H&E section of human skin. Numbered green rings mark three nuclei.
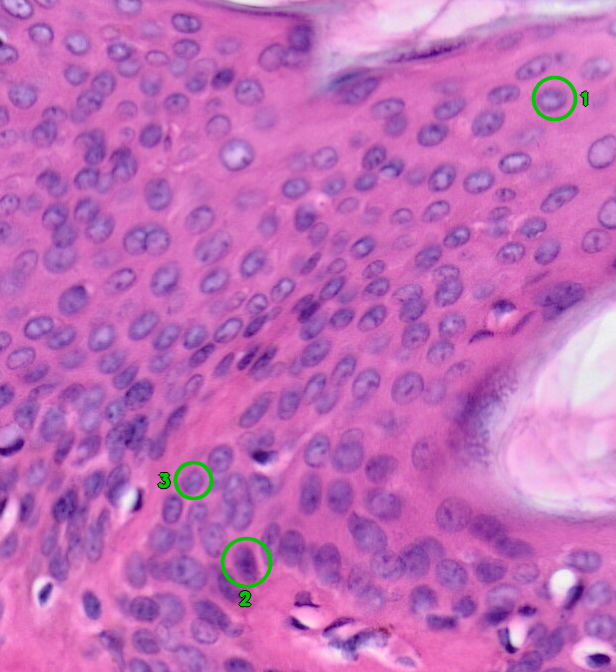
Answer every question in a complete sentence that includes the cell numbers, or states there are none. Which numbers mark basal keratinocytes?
The cells shown with numbers 2 and 3 are basal keratinocytes.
